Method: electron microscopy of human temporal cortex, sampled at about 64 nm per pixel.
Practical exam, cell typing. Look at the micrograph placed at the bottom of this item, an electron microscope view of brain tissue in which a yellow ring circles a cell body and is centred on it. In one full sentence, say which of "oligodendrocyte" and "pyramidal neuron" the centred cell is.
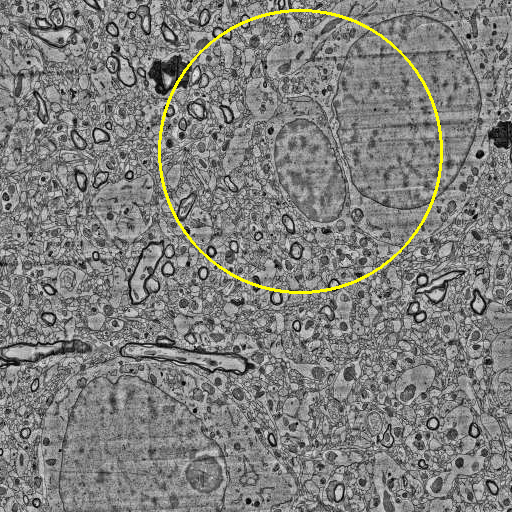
Given the options, an oligodendrocyte fits the cell whose body the yellow ring is centred on.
